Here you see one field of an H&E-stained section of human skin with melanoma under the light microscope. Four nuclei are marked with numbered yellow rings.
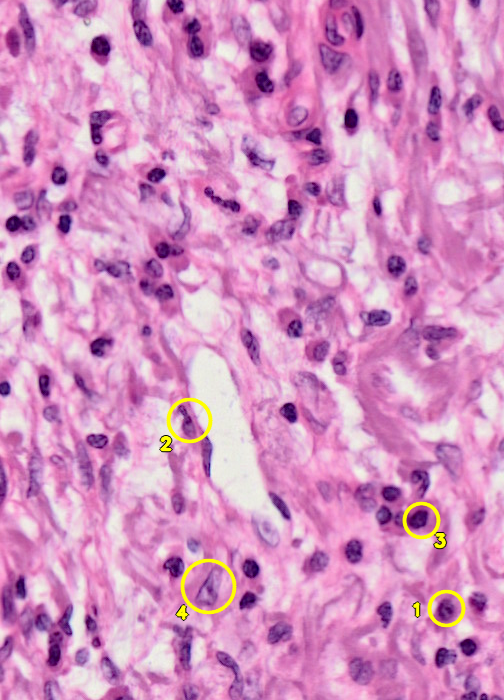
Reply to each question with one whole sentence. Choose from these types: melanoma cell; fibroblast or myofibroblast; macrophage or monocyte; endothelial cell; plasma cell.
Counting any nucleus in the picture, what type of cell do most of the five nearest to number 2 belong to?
Of the five nuclei nearest to number 2, most belong to endothelial cells.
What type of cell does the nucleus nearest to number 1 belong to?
The nearest nucleus to number 1 belongs to a plasma cell.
